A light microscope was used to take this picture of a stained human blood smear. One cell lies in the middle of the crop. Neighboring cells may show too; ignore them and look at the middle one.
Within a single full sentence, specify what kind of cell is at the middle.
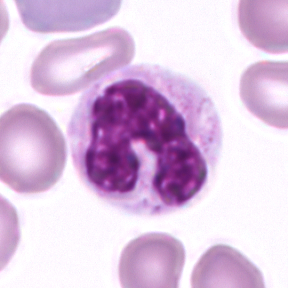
Here the cell in the middle is a band neutrophil.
